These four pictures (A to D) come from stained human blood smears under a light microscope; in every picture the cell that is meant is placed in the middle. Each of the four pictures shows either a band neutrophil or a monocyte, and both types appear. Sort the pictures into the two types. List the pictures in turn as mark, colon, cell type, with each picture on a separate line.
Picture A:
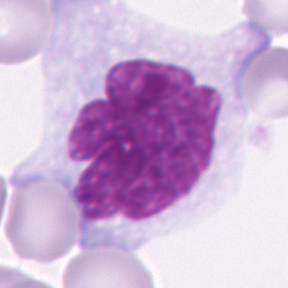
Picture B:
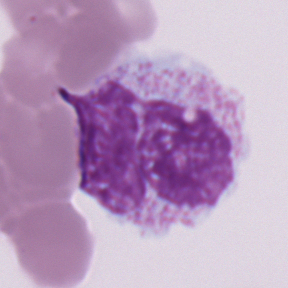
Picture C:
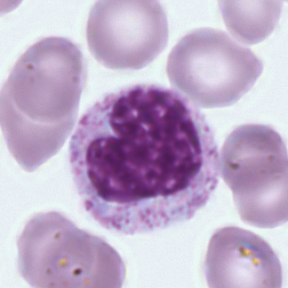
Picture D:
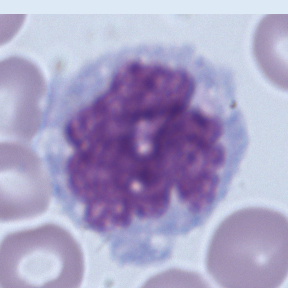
A: monocyte
B: band neutrophil
C: band neutrophil
D: monocyte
